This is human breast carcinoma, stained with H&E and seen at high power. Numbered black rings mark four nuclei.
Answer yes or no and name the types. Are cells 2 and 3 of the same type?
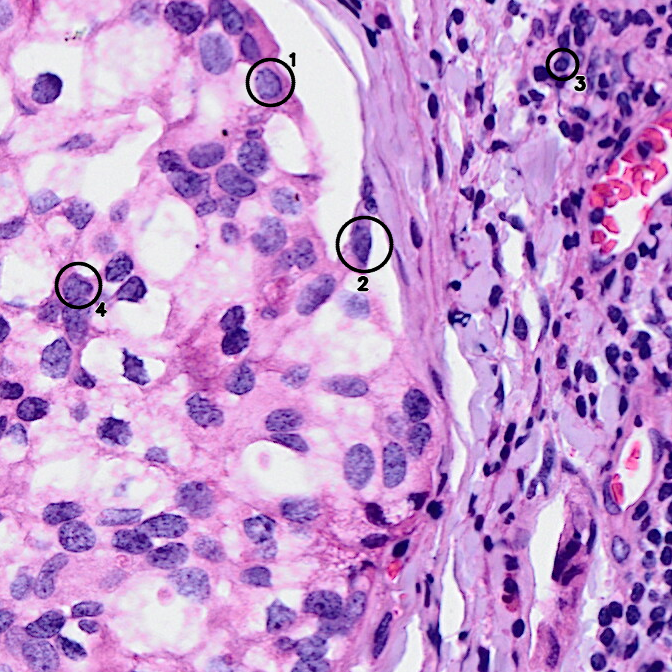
No, cell 3 is a lymphocyte, but cell 2 is a carcinoma cell.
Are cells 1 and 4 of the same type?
Yes, it is true that cells 1 and 4 are both carcinoma cells.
